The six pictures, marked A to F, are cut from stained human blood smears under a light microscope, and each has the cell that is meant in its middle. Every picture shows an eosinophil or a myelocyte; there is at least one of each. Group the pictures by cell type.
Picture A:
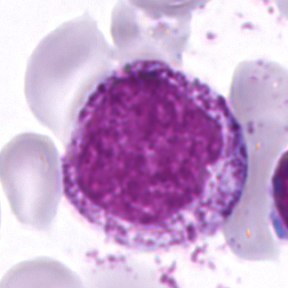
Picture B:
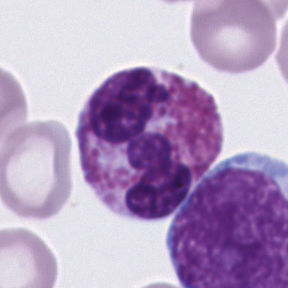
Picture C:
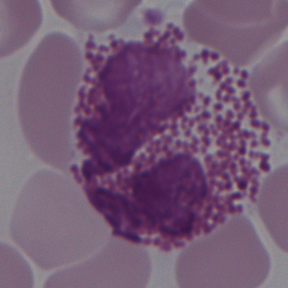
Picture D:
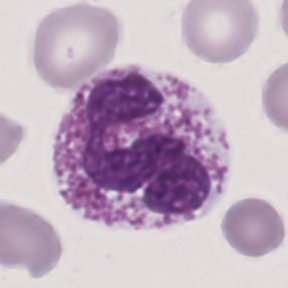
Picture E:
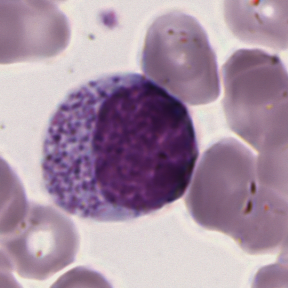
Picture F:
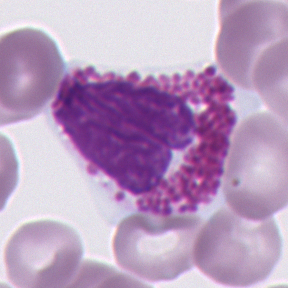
A: myelocyte
B: eosinophil
C: eosinophil
D: eosinophil
E: myelocyte
F: eosinophil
